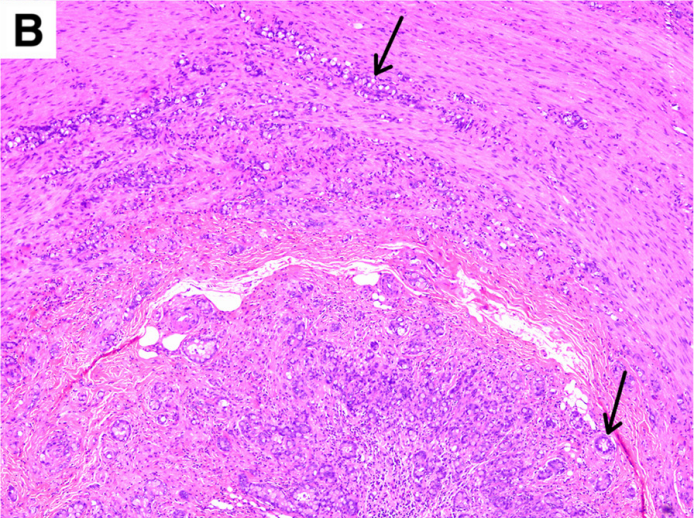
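The upper part is made of pink, streaming smooth muscle bundles, and between them run rows and small clusters of tumor cells with pale cytoplasm. Below a loose fibrous band with open clefts lies a more crowded, cellular zone packed with tumor cell clusters. The tumor cells are spread through the layers of the wall rather than staying in one compact mass, so the normal orderly layers are disrupted.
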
